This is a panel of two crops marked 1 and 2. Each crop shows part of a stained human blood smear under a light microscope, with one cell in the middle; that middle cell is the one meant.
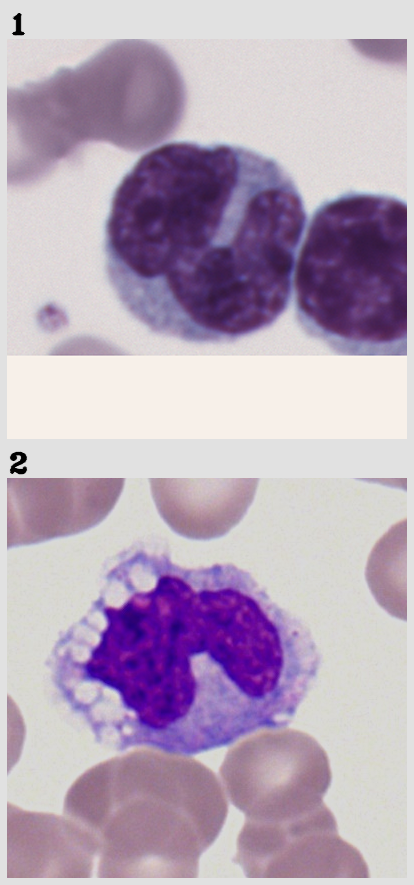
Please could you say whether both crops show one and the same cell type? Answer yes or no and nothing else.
yes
